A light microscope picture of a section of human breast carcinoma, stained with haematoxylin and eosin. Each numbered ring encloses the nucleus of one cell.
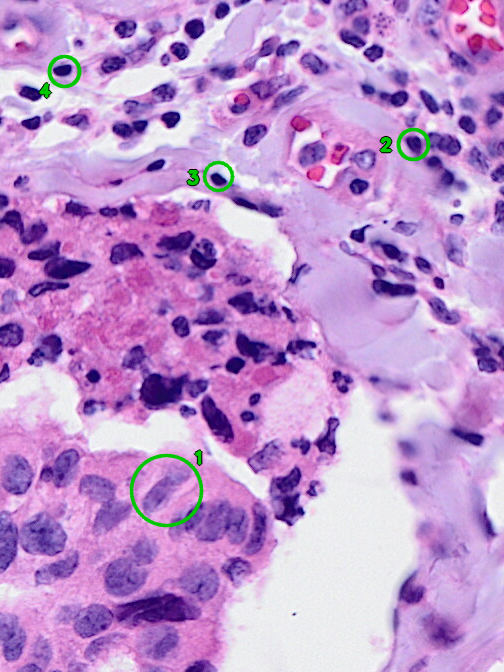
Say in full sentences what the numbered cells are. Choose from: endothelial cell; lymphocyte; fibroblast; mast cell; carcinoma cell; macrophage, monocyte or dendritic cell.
Cell 1 is a carcinoma cell, cell 2 is a lymphocyte, cell 3 is a lymphocyte and cell 4 is a lymphocyte.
